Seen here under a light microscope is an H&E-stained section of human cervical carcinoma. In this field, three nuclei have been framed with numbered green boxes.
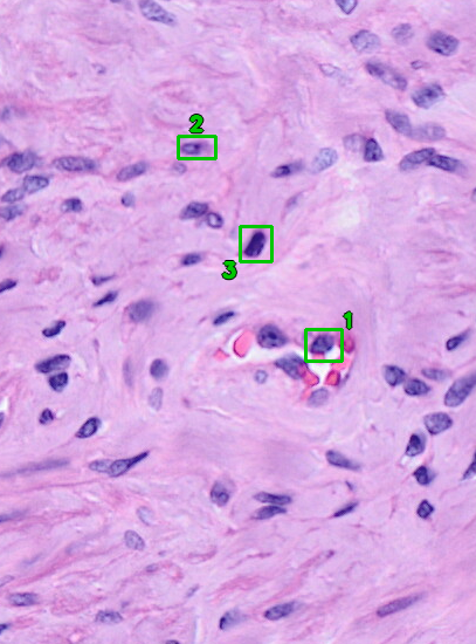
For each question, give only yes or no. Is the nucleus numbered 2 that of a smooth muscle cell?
yes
